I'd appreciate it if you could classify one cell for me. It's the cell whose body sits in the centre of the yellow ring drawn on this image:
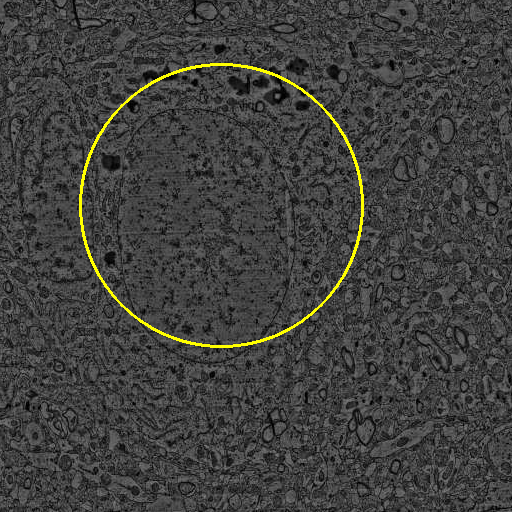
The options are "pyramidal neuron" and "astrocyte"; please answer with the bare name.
pyramidal neuron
